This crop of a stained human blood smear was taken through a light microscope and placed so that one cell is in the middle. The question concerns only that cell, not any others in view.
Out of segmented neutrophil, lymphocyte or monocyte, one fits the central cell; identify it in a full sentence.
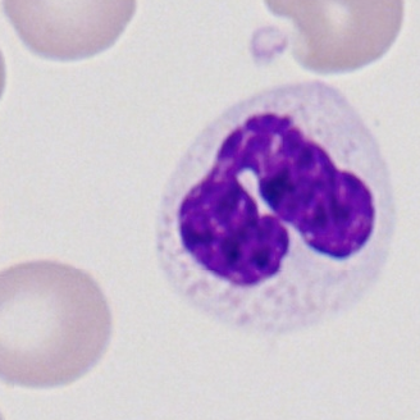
This crop's central cell is a segmented neutrophil.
